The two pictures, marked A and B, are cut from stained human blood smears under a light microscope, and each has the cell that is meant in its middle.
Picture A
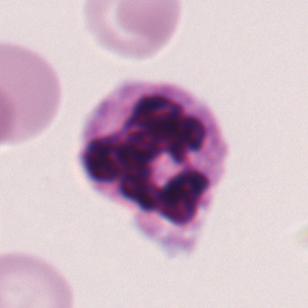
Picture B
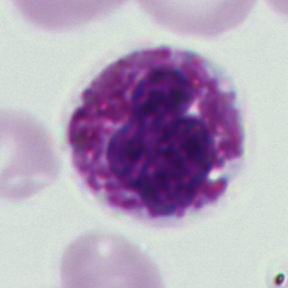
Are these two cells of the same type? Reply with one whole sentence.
No, picture A shows a segmented neutrophil and picture B shows an eosinophil.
